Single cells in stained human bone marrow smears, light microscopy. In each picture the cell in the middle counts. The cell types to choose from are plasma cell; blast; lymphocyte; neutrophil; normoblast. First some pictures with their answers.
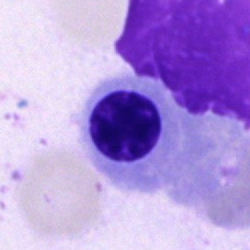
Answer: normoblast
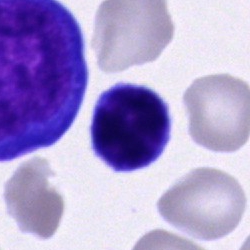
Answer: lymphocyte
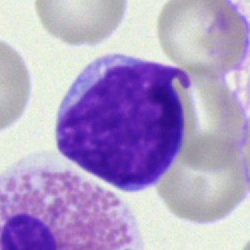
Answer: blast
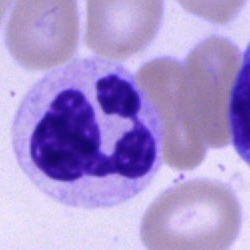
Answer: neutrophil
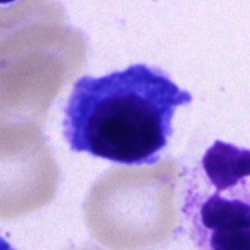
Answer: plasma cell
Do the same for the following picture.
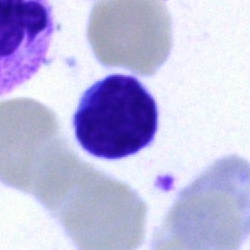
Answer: lymphocyte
